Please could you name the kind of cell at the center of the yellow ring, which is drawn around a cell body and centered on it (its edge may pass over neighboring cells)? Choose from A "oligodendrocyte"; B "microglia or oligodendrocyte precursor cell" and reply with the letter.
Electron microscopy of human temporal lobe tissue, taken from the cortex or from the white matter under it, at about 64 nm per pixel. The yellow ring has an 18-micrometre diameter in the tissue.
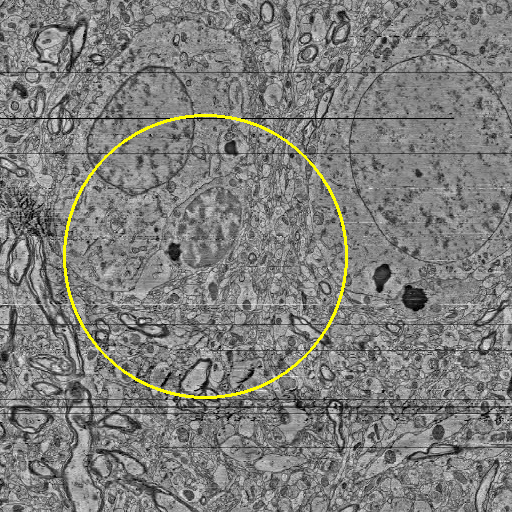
A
